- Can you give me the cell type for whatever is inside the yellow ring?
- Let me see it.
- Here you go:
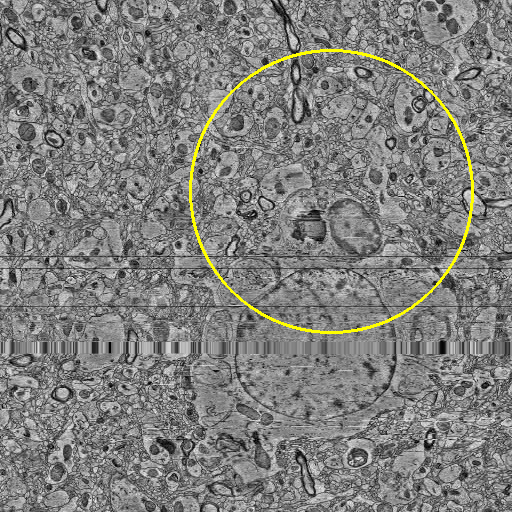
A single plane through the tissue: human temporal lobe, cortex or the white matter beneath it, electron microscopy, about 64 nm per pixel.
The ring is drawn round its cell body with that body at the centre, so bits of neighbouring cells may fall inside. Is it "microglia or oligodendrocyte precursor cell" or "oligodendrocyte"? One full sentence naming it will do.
The cell body in the middle of the ring in this picture belongs to an oligodendrocyte.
